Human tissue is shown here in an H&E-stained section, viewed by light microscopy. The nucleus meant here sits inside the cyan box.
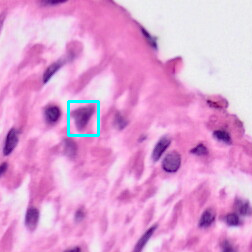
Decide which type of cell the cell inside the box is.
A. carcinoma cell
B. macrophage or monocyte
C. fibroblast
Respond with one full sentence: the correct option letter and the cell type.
The correct option, C, describes the cell inside the box as a fibroblast.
